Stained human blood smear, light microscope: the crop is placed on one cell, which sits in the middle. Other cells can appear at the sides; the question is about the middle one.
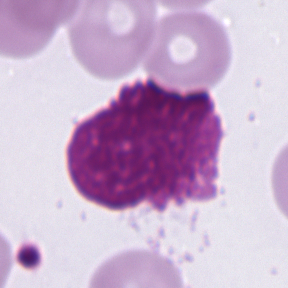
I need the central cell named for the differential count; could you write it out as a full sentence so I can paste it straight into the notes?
The cell under consideration, at the middle of the crop, is a smudge cell.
